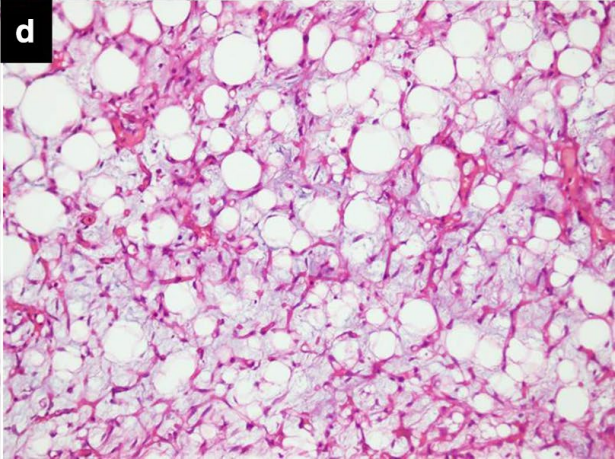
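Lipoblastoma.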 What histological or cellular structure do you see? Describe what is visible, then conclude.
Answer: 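Thin pink-red channels branch through the field. They form a network between rounded clear fat vacuoles in a pale loose background. That points to this answer: Thin walled branching (plexiform) vasculature.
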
